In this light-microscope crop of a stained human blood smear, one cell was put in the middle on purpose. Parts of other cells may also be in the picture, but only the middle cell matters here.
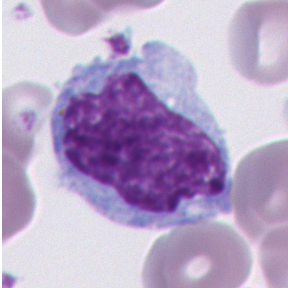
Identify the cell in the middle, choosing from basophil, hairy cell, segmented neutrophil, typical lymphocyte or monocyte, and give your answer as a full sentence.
To answer, the cell in the center of the crop is a monocyte.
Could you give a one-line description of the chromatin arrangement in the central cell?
The nucleus shows chromatin that is coarsely clumped.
